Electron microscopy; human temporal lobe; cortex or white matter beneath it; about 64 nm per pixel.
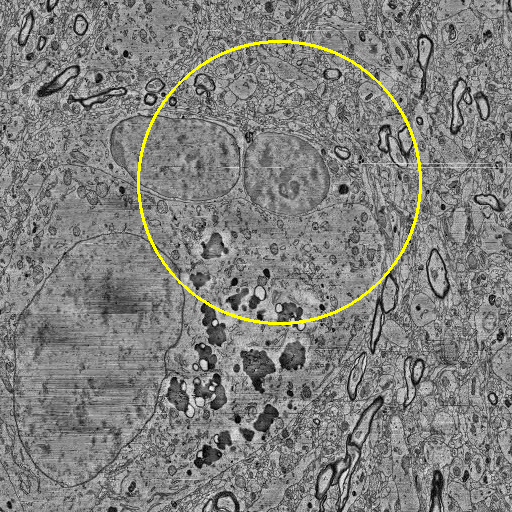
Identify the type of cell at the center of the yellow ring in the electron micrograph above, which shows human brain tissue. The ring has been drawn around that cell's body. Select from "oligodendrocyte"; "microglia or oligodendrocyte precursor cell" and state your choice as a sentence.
The yellow ring is centered on the body of an oligodendrocyte.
